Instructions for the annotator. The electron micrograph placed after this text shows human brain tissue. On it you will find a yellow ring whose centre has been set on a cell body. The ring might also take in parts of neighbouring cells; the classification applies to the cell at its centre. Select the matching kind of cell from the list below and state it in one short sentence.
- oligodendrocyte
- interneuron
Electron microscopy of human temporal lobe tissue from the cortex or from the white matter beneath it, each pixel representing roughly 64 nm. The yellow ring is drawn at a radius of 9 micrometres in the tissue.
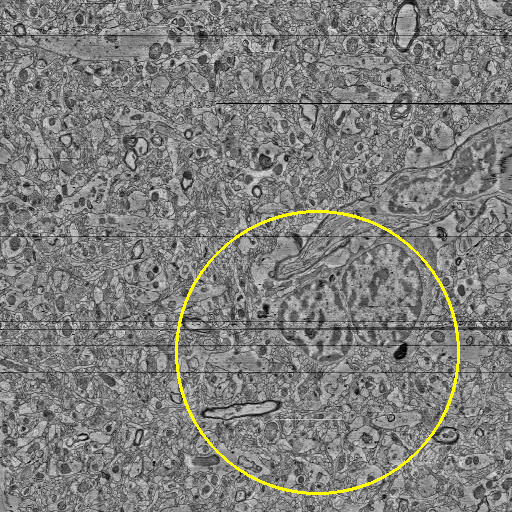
The ring is drawn on the cell body of an oligodendrocyte.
